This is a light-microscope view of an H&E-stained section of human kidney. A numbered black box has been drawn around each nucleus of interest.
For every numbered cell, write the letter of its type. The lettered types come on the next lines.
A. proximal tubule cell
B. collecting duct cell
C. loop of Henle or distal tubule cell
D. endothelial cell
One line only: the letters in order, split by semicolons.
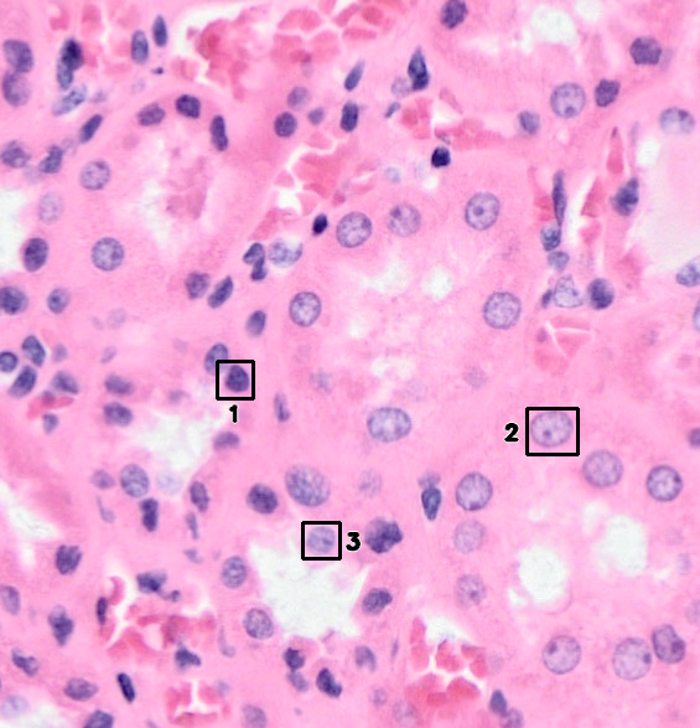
C; A; C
